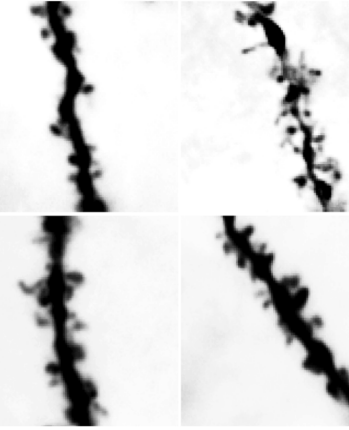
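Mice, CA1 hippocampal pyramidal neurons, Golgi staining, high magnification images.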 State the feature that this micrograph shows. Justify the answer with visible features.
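Dark, slender branches cross each image diagonally. Many small knobs and short projections stick out from the sides of each branch.
Dendritic protrusions.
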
